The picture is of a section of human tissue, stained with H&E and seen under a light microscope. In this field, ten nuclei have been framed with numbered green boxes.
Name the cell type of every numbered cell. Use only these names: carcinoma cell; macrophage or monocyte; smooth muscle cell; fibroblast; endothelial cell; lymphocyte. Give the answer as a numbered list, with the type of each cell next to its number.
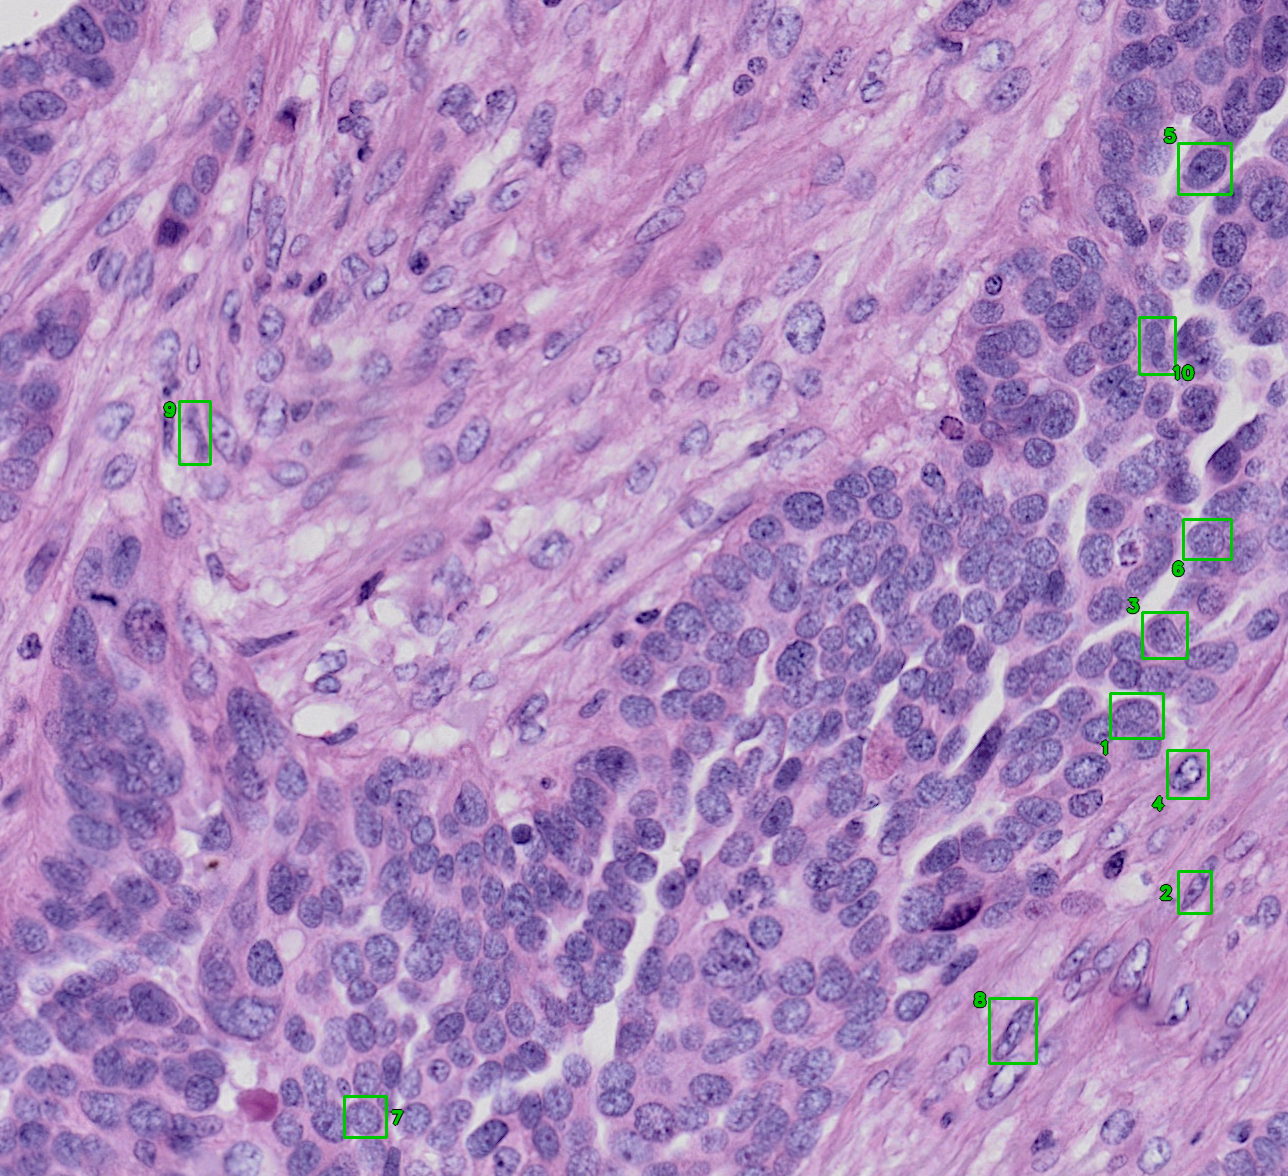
1. carcinoma cell
2. fibroblast
3. carcinoma cell
4. fibroblast
5. carcinoma cell
6. carcinoma cell
7. carcinoma cell
8. fibroblast
9. fibroblast
10. carcinoma cell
